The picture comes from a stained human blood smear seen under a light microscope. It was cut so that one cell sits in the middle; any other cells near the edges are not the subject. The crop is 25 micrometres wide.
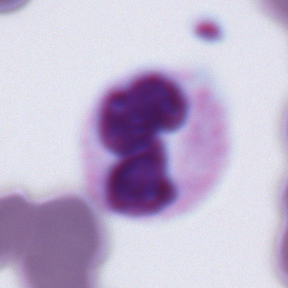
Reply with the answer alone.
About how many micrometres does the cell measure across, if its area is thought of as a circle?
13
